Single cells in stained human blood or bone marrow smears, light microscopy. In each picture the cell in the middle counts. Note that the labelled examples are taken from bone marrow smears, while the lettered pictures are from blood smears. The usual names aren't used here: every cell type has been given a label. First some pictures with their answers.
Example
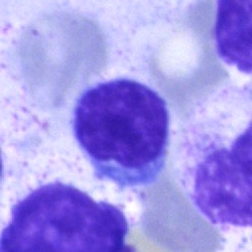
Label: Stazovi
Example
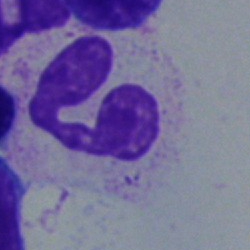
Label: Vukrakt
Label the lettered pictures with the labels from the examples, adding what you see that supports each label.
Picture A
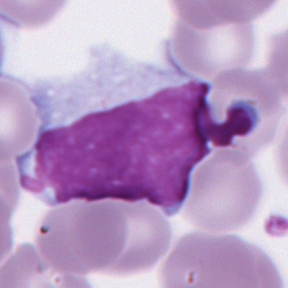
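Stazovi: The nucleus fills most of the cell.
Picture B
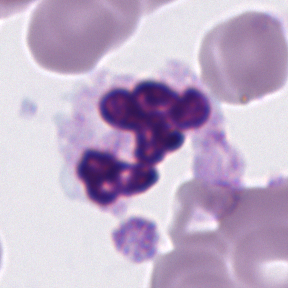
Vukrakt: The cytoplasm is plentiful and pale pinkish-lilac.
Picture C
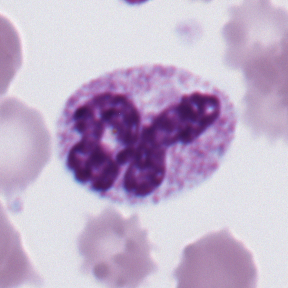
Vukrakt: The cytoplasm is plentiful and pale pink.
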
